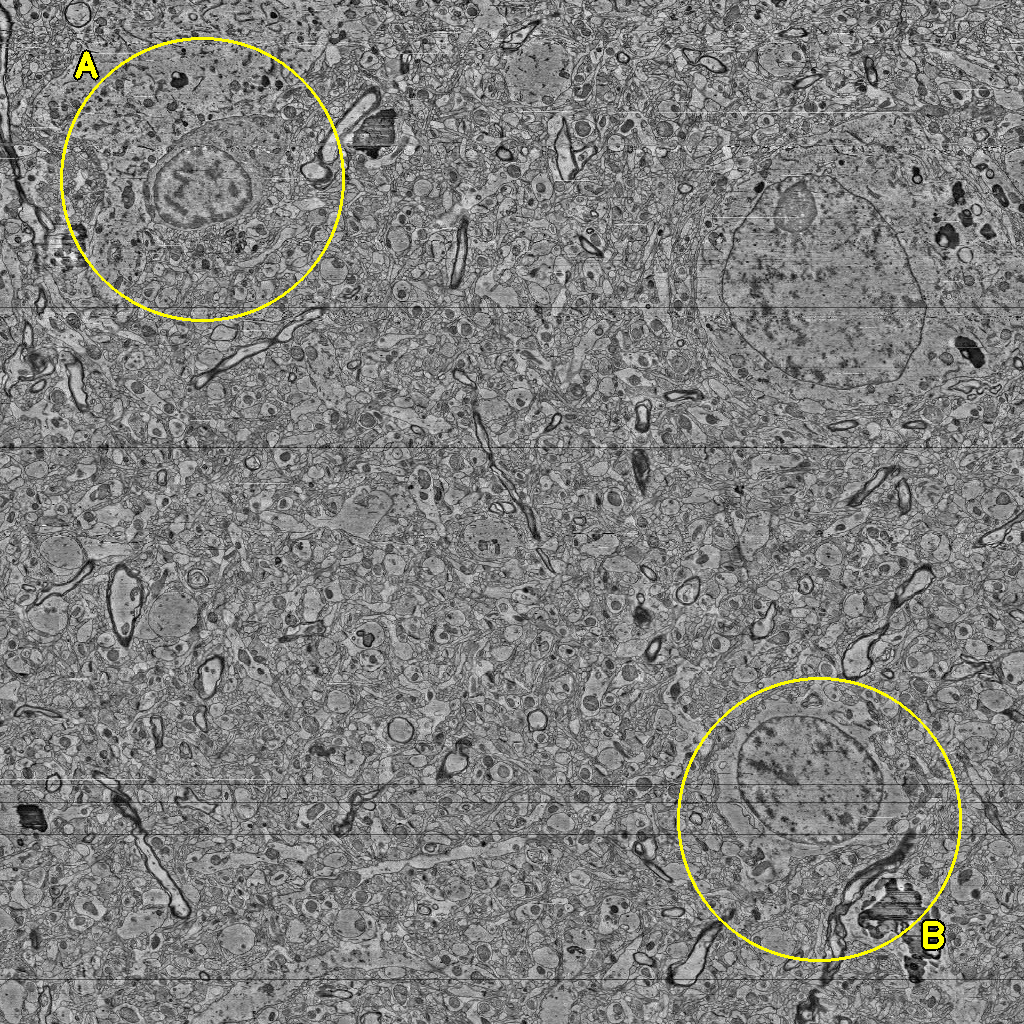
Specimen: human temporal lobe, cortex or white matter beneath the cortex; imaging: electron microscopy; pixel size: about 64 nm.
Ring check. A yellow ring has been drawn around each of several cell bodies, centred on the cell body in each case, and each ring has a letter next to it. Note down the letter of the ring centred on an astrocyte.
B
